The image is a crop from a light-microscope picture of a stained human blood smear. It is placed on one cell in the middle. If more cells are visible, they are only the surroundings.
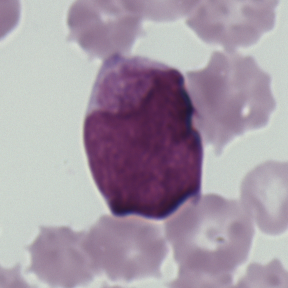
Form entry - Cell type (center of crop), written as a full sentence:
In the central position of this crop, the cell is a myeloblast.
